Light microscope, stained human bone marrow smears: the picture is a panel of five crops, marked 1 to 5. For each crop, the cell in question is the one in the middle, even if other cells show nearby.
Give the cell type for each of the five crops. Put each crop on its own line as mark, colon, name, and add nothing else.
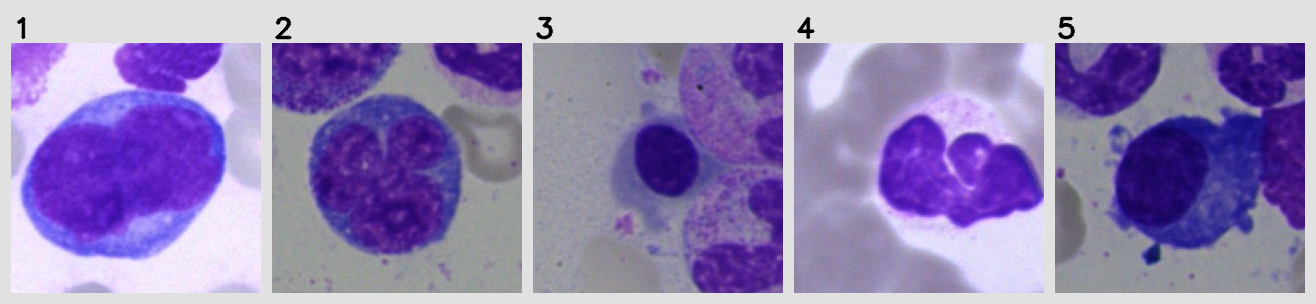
1: blast
2: blast
3: erythroblast
4: segmented neutrophil
5: plasma cell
